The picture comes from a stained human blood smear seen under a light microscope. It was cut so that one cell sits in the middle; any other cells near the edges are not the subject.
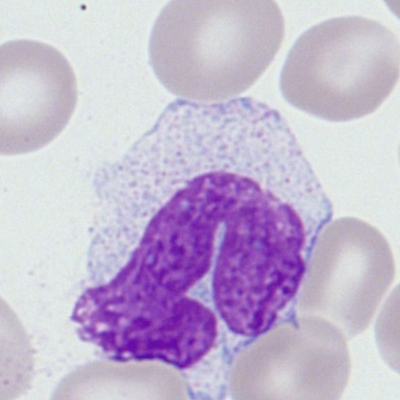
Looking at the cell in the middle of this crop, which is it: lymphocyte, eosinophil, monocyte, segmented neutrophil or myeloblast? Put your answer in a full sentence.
The middle cell in this particular crop is a monocyte.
